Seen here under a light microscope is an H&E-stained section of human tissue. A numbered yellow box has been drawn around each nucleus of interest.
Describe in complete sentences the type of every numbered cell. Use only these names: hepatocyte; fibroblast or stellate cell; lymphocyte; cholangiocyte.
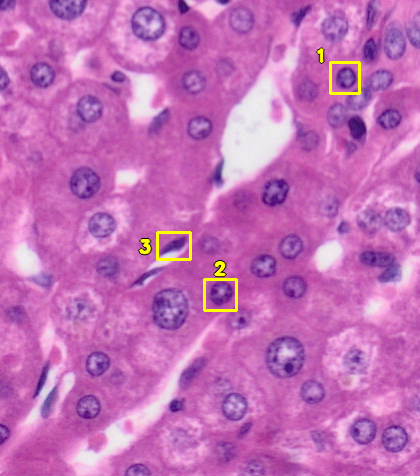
Cell 1 is a cholangiocyte, cell 2 is a hepatocyte and cell 3 is a fibroblast or stellate cell.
